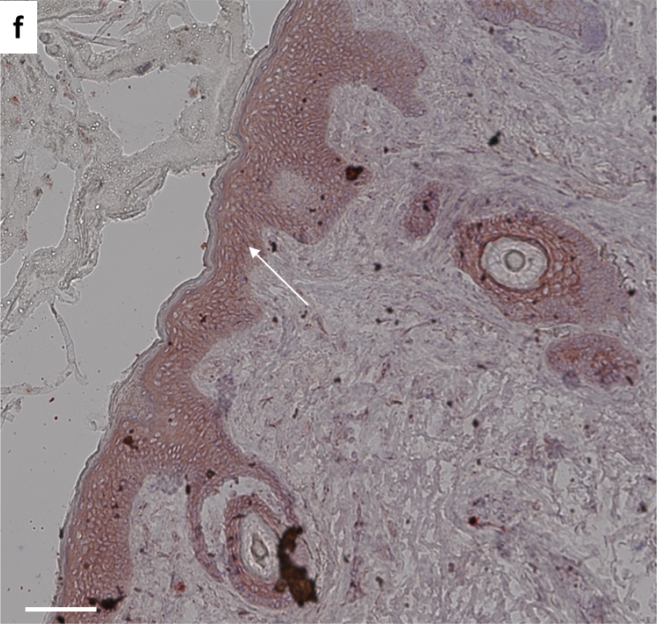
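This is skin with a stratified squamous epidermis running along the surface, its keratinocytes stained brown with a fine intercellular outlining pattern. The epidermis forms rete ridges that project down into a pale, loosely fibrous dermis with sparse purple nuclei. Hair follicles in cross-section, with brown-stained epithelial sheaths around a central shaft, lie within the dermis. A thin flaky layer of detached keratin lies above the surface.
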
